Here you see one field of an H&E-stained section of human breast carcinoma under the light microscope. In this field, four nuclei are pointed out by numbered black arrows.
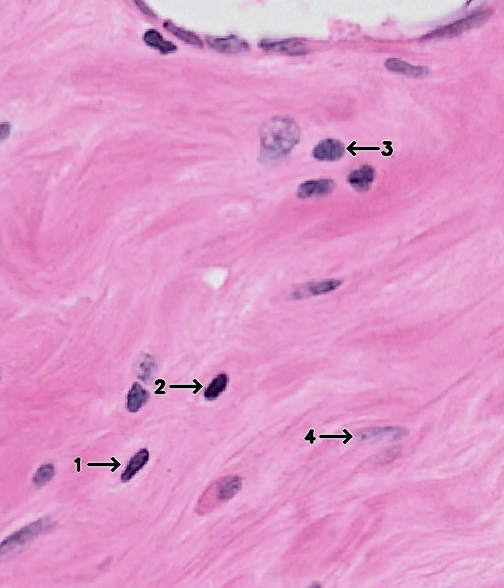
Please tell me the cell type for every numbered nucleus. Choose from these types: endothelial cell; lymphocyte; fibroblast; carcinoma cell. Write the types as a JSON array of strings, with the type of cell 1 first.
["lymphocyte", "lymphocyte", "lymphocyte", "fibroblast"]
